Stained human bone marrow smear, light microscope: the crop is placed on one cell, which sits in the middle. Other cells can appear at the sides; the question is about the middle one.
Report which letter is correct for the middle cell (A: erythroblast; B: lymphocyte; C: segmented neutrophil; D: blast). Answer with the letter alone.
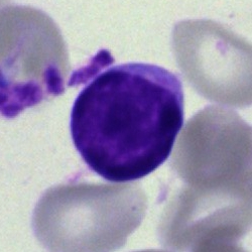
B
